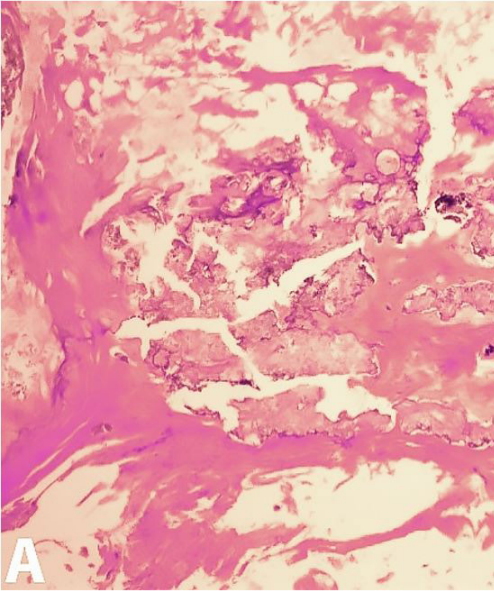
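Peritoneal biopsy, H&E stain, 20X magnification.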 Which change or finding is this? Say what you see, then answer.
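Pale amorphous pink material without clear viable cells. Fragmented, cracked areas with faint ghost-like outlines. Small dark purple granular deposits. On this evidence: fat necrosis.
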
